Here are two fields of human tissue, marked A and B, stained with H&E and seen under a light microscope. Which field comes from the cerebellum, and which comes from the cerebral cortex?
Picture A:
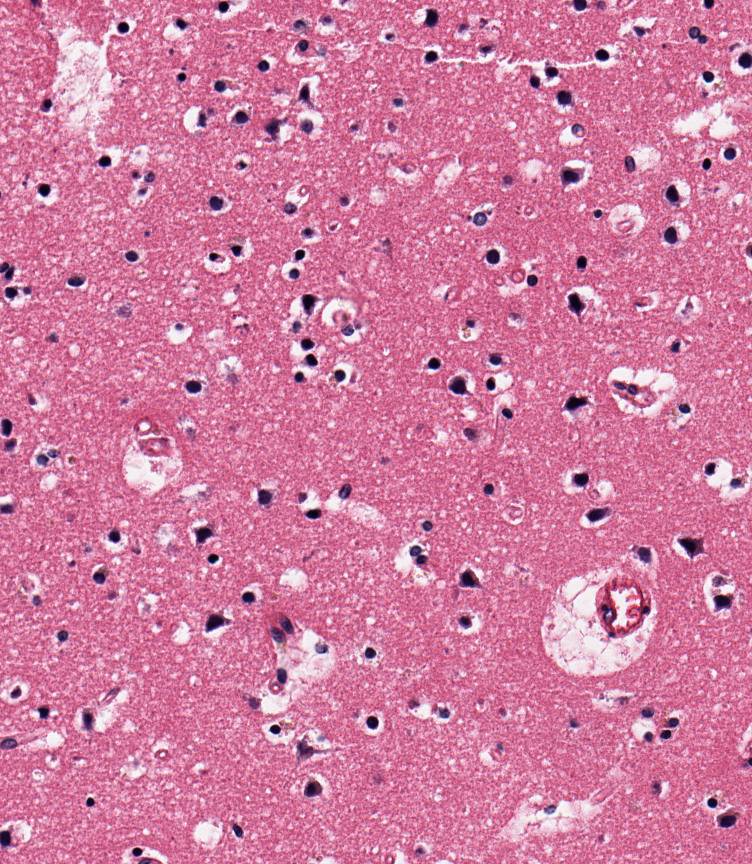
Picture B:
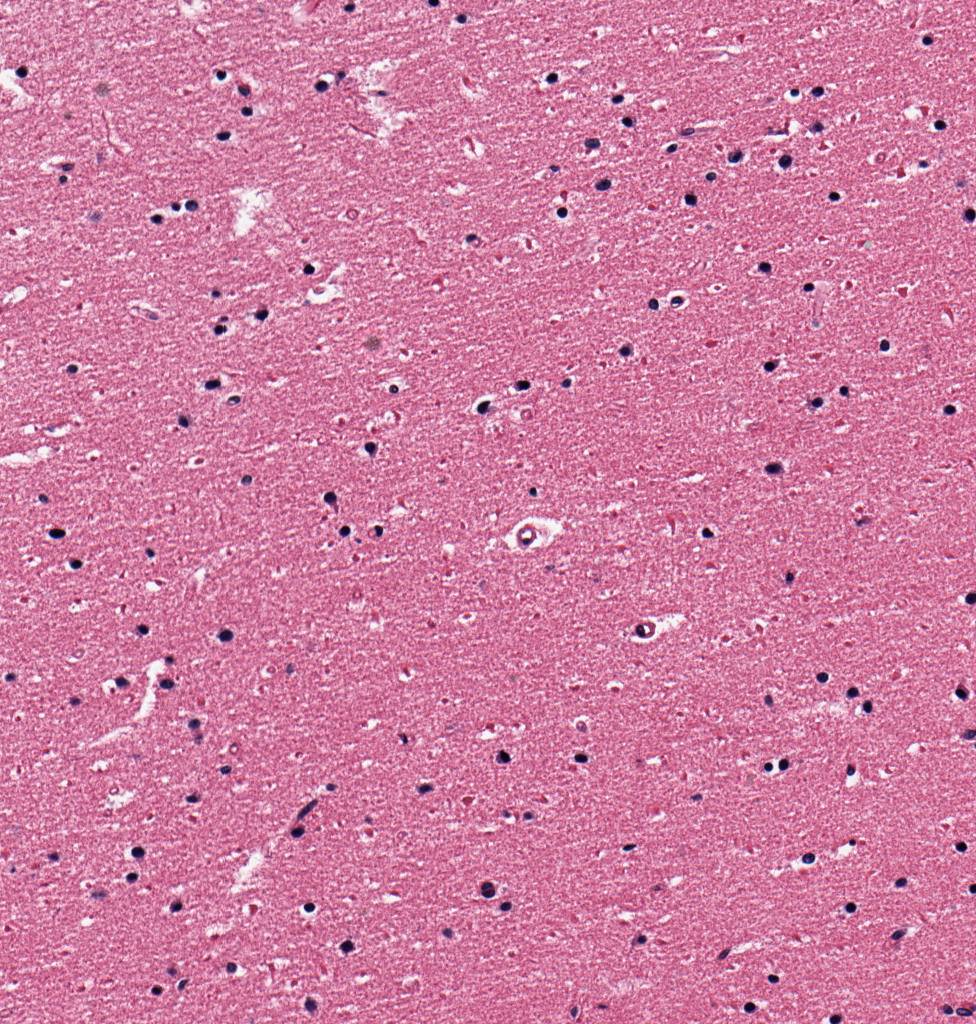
A: cerebral cortex
B: cerebellum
